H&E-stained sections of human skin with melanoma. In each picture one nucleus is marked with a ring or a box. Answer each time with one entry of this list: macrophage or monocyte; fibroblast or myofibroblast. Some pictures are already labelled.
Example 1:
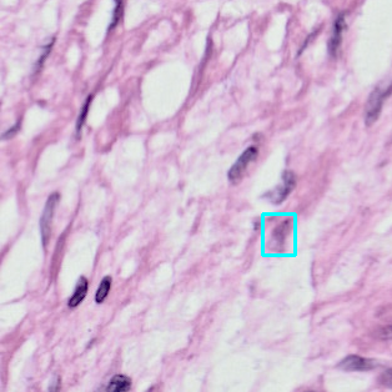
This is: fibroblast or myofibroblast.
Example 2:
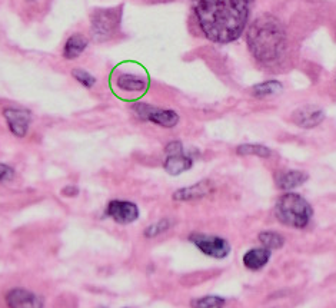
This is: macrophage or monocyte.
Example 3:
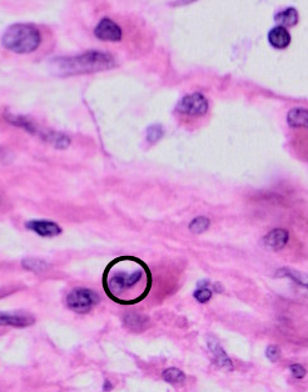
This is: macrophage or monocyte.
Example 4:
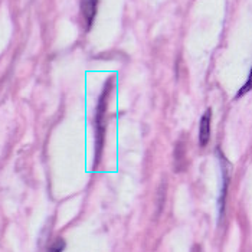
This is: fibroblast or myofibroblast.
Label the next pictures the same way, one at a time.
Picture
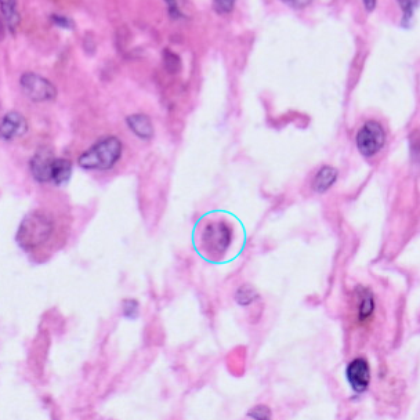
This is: macrophage or monocyte.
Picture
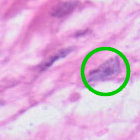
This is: fibroblast or myofibroblast.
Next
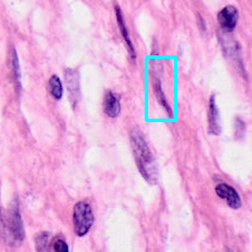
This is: fibroblast or myofibroblast.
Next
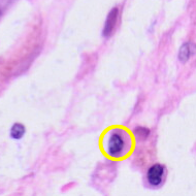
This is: macrophage or monocyte.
